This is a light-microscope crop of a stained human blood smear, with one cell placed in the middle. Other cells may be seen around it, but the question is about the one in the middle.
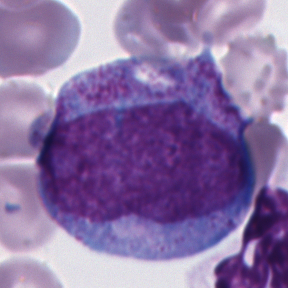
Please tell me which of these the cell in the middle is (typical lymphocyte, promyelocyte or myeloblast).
promyelocyte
